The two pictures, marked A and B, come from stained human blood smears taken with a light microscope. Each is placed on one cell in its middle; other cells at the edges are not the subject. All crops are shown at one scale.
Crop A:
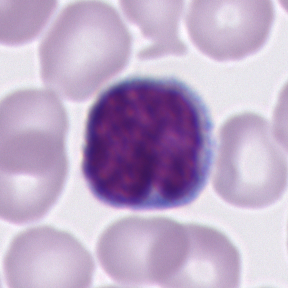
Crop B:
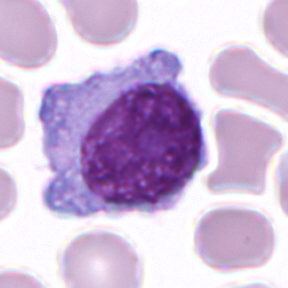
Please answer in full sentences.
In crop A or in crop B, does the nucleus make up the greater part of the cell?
It is the cell in crop A that is filled more by its nucleus.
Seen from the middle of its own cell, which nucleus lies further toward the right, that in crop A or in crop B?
The nucleus in crop B lies further toward the right of its cell.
